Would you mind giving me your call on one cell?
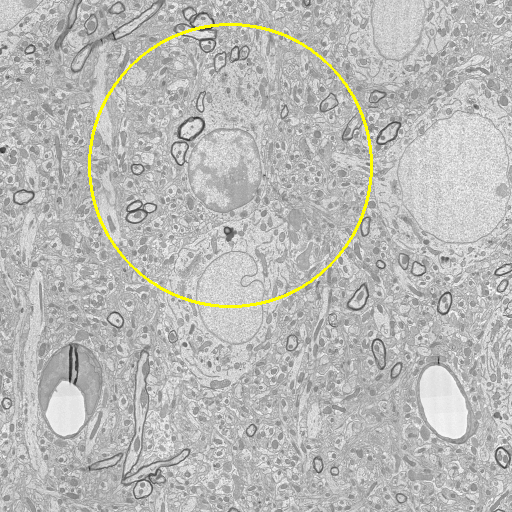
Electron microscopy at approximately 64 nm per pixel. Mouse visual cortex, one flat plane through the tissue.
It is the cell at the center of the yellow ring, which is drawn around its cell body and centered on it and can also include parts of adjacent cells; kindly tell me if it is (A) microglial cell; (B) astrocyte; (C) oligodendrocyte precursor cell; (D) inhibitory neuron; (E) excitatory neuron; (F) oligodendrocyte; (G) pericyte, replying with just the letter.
F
